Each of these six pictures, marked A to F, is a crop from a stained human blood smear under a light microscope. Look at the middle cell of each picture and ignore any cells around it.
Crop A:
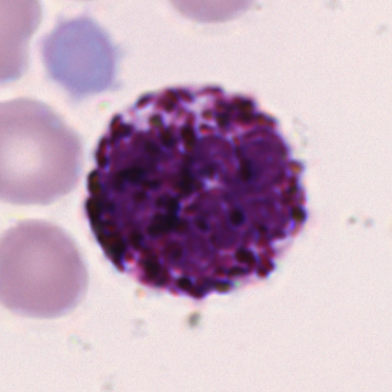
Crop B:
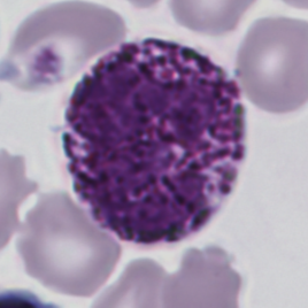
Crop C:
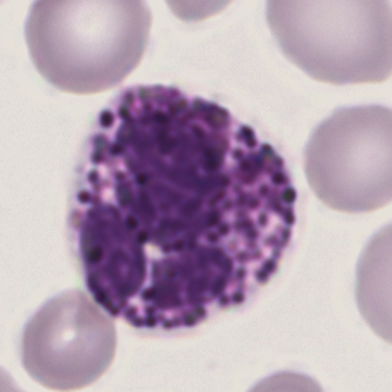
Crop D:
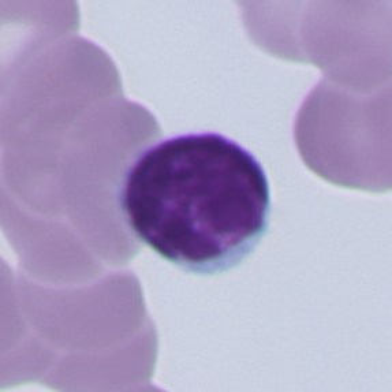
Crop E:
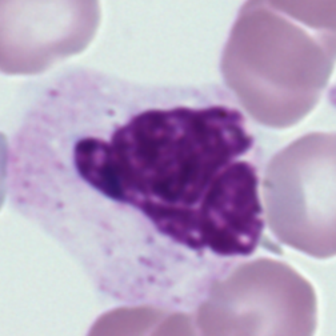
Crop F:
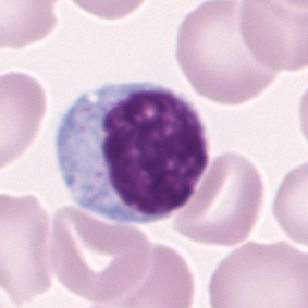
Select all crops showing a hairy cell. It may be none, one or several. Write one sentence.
No crop at all in this series shows a hairy cell.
